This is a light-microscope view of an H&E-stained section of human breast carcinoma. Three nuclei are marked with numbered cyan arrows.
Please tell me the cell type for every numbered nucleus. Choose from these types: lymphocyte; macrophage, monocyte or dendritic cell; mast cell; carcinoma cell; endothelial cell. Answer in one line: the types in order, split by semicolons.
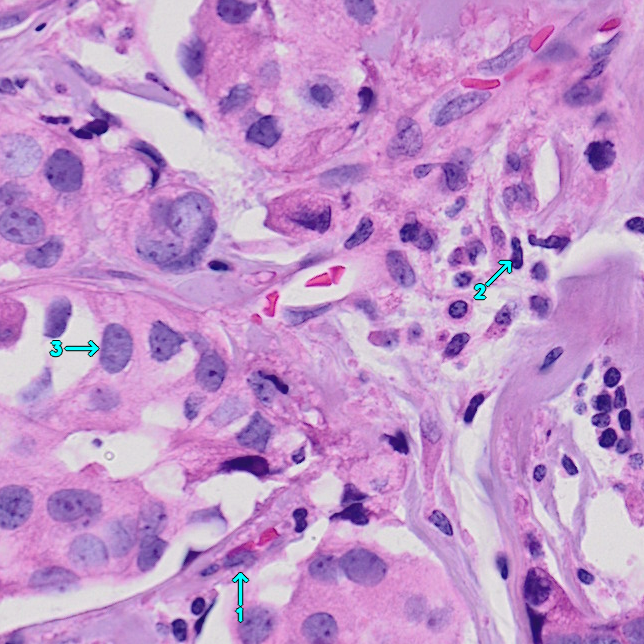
endothelial cell; lymphocyte; carcinoma cell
